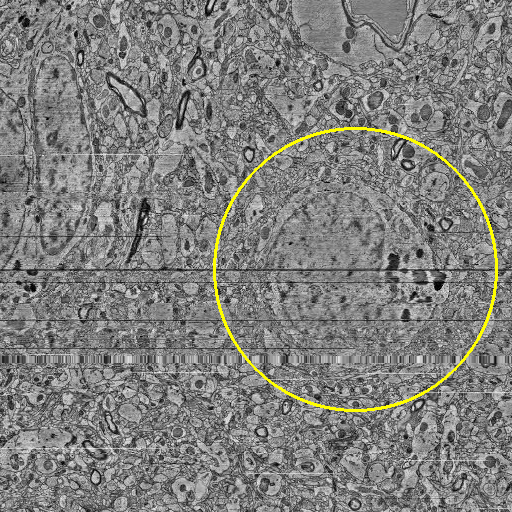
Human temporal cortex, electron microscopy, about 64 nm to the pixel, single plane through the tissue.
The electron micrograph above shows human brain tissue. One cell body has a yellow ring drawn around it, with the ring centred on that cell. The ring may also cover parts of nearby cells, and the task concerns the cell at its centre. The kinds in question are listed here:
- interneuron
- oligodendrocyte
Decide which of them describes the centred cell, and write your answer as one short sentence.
The centred cell is an interneuron.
